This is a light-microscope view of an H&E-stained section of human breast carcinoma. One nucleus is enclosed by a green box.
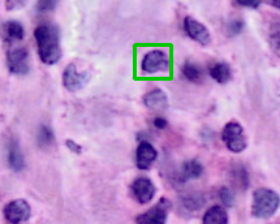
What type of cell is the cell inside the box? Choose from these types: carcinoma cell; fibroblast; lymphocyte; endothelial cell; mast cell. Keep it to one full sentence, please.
In this section, the cell inside the box is a lymphocyte.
